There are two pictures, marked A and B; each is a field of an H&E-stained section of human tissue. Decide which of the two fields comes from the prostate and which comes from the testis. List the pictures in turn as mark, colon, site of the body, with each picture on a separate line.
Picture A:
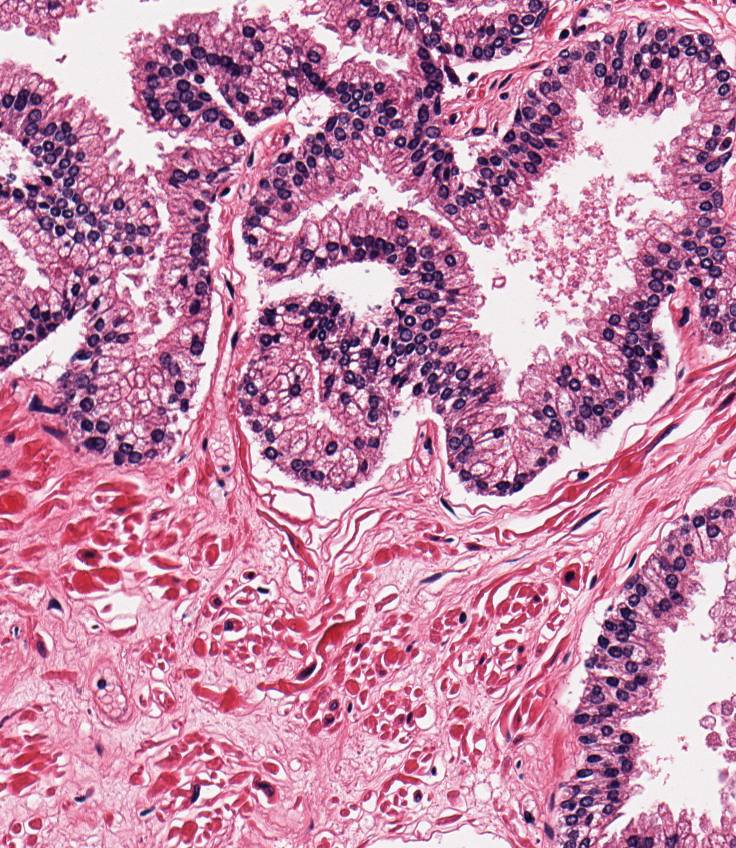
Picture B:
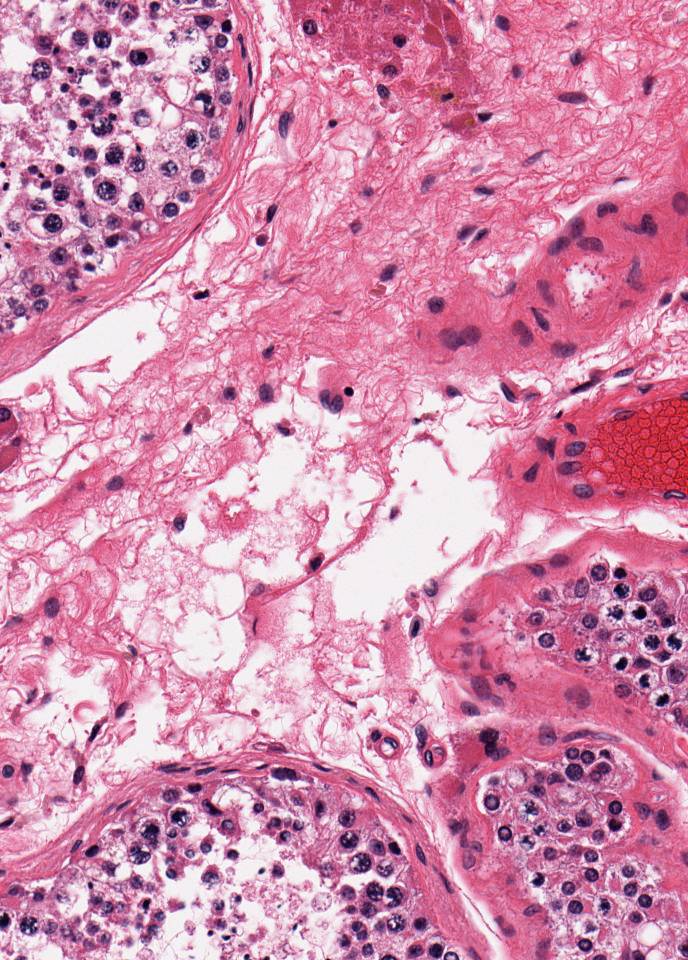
A: prostate
B: testis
